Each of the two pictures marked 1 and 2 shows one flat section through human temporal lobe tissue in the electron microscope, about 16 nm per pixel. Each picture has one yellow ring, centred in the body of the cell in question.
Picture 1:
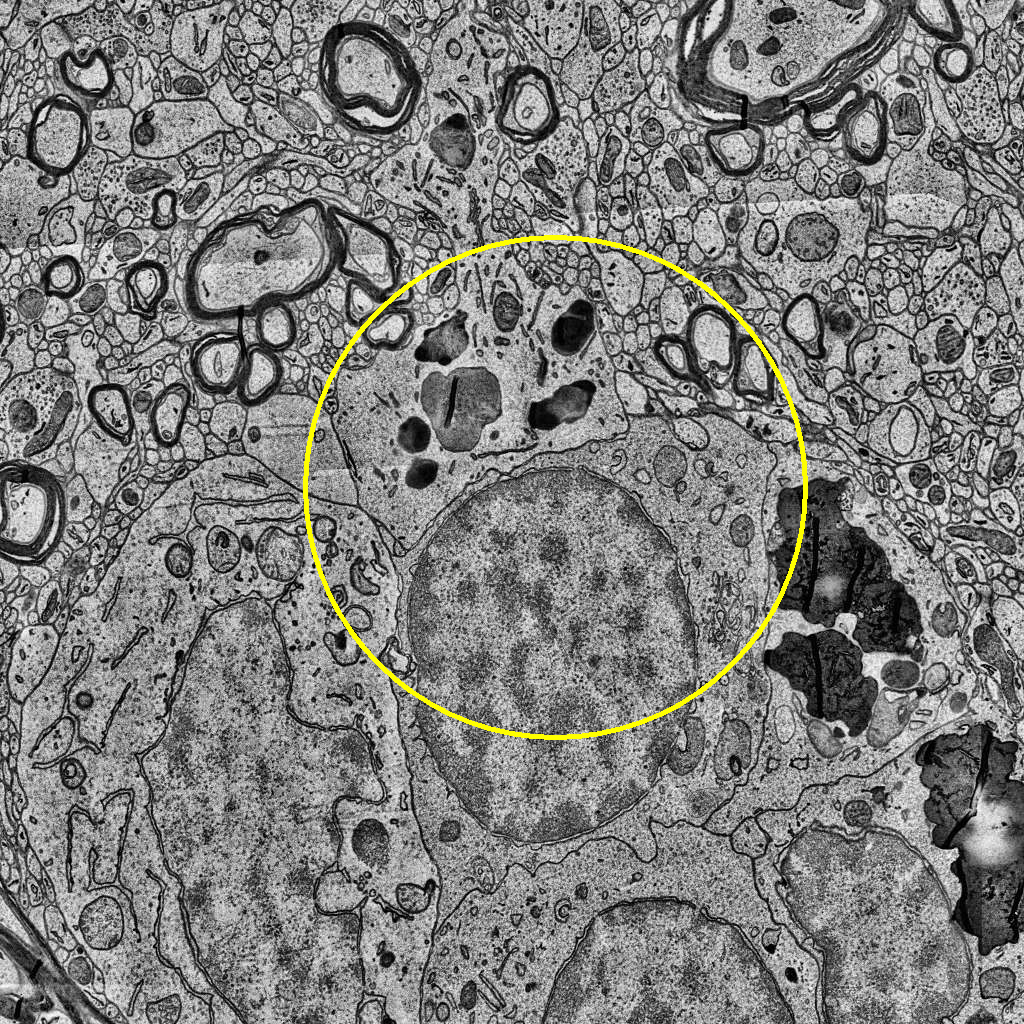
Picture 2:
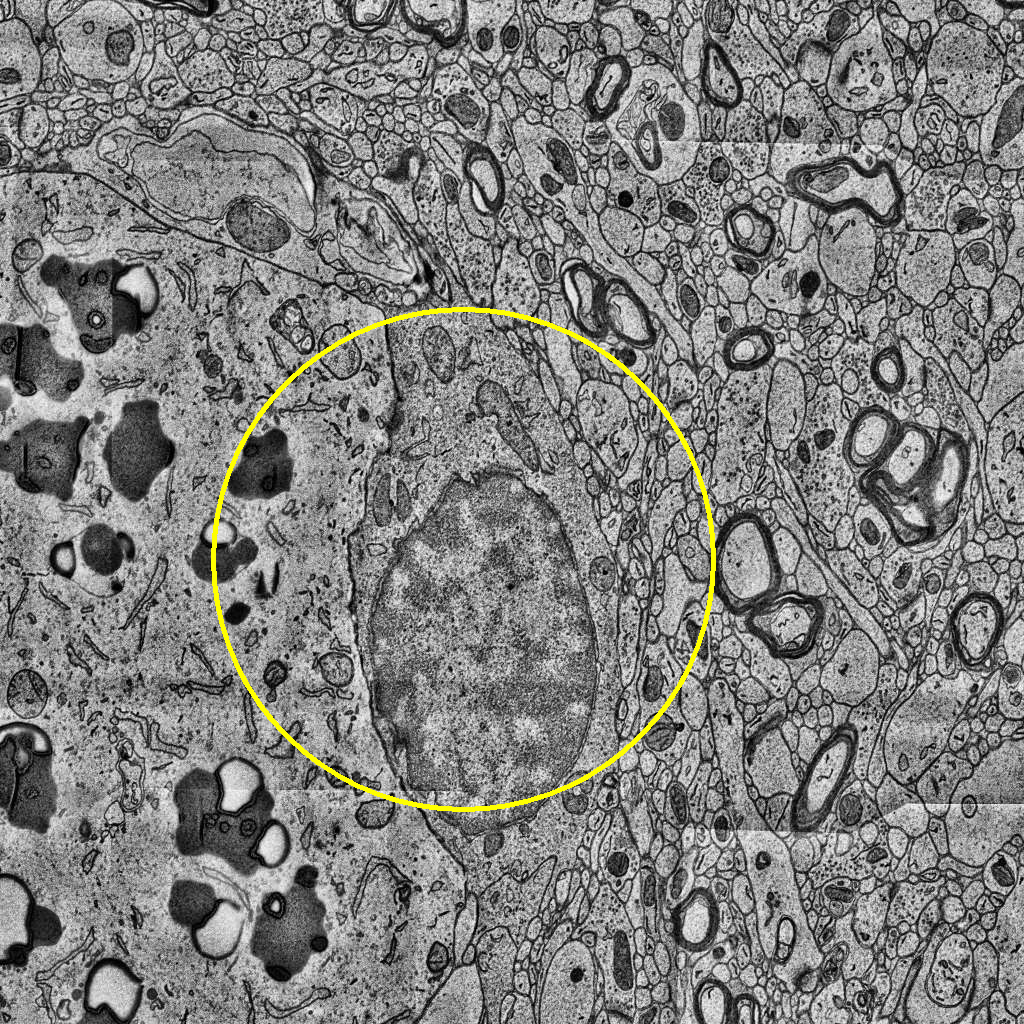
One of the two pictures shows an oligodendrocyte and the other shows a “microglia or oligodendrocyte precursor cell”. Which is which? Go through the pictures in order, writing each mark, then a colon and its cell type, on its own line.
1: microglia or oligodendrocyte precursor cell
2: oligodendrocyte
